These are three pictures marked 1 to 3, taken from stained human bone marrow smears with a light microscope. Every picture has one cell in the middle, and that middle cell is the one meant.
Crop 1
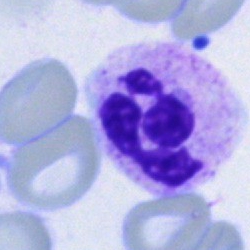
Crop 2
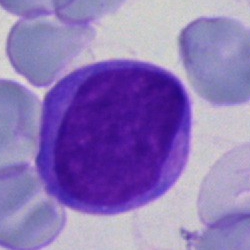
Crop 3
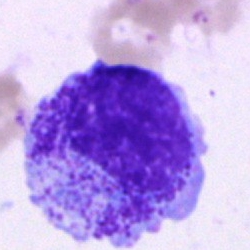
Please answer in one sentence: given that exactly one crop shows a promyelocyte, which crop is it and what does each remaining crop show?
Crop 3 is identified as a promyelocyte, whereas crop 1 is a segmented neutrophil and crop 2 is a blast.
